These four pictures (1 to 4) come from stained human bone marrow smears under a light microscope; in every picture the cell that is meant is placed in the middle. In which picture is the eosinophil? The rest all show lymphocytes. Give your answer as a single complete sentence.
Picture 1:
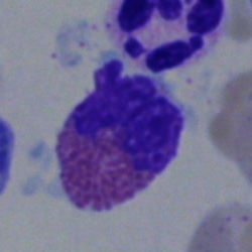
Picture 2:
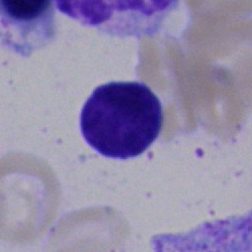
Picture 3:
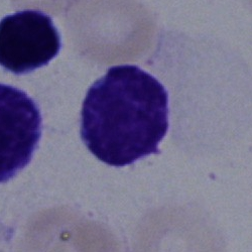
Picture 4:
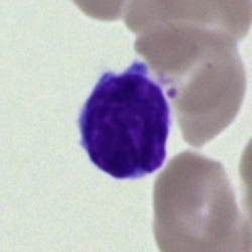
The cell in picture 1 is the eosinophil.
